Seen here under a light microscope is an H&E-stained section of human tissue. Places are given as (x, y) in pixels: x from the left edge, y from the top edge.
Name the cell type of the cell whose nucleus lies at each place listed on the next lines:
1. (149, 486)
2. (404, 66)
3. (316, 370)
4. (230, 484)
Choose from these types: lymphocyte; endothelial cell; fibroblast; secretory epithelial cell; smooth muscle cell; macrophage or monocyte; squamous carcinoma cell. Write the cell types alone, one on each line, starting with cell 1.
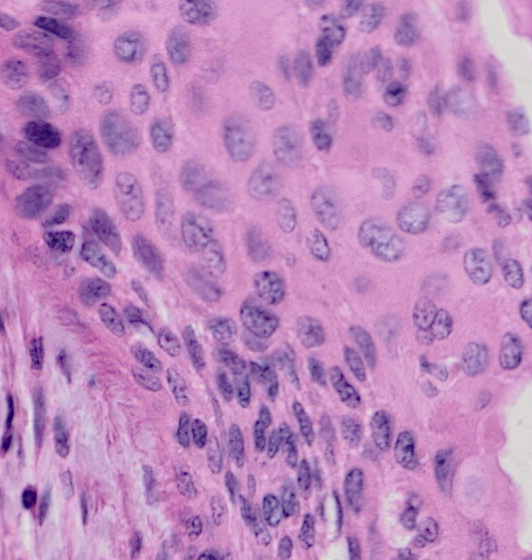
fibroblast
squamous carcinoma cell
squamous carcinoma cell
squamous carcinoma cell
